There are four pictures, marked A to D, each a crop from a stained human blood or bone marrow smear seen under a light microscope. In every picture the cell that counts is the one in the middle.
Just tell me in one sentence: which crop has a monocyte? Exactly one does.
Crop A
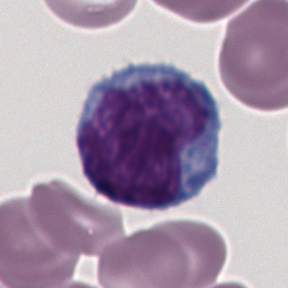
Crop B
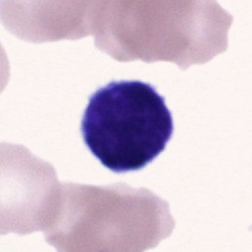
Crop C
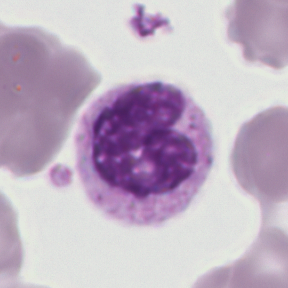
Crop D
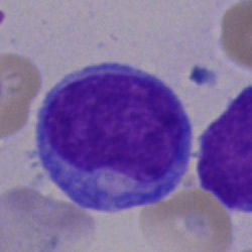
It is crop A, not any other, that shows a monocyte.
